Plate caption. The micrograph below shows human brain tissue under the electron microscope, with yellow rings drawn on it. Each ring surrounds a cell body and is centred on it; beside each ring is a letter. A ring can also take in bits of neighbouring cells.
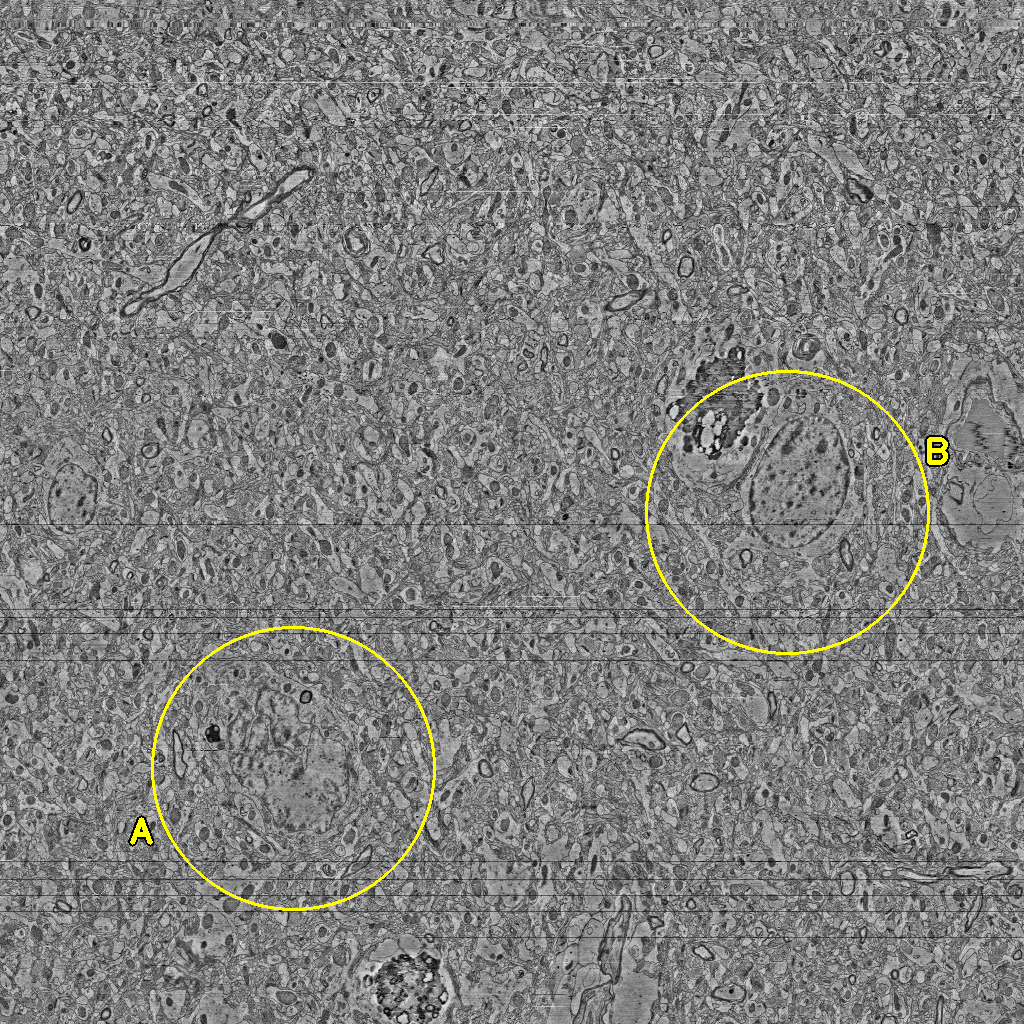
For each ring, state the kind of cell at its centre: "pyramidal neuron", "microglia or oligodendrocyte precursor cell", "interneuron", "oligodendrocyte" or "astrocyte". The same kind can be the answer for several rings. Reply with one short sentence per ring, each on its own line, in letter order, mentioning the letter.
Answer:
Ring A is drawn around an interneuron.
Ring B is drawn around an astrocyte.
